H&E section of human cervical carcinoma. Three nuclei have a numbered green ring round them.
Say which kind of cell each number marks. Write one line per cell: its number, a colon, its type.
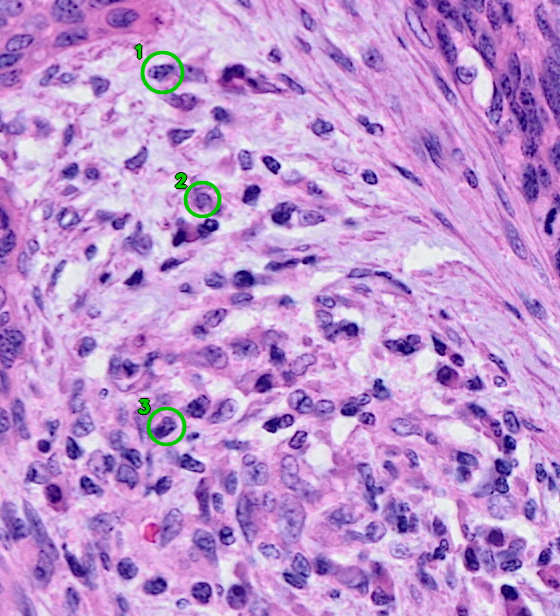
1: lymphocyte
2: macrophage or monocyte
3: lymphocyte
